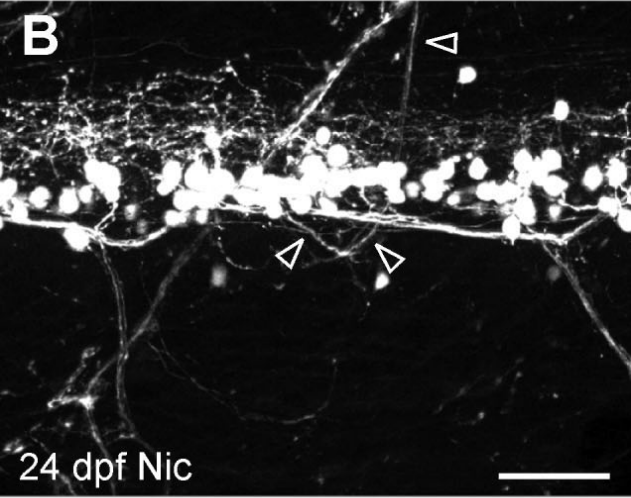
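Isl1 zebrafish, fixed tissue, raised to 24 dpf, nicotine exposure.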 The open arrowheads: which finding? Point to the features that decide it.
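Extra axons exiting spinal cord in between segments. Open arrowheads point at thin single fibers leaving the band of bright cell bodies. These fibers run apart from the thick main nerve bundles.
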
